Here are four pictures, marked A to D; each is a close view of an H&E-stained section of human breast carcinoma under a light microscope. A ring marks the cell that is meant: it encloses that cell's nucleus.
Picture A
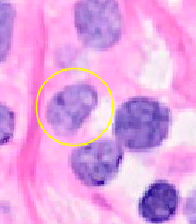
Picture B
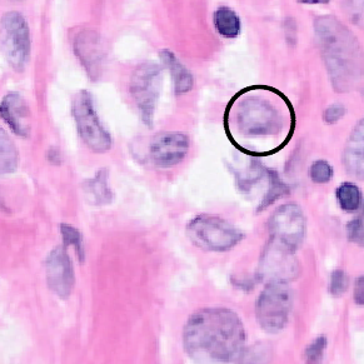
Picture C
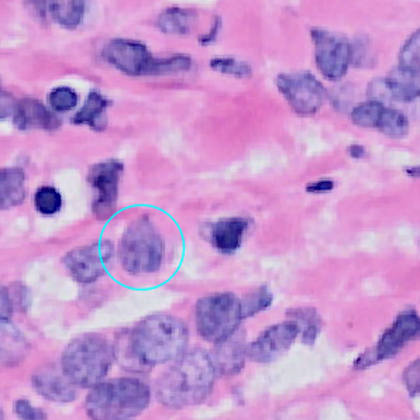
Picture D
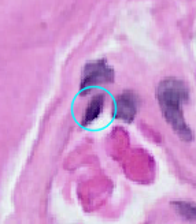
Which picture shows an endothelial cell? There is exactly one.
D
